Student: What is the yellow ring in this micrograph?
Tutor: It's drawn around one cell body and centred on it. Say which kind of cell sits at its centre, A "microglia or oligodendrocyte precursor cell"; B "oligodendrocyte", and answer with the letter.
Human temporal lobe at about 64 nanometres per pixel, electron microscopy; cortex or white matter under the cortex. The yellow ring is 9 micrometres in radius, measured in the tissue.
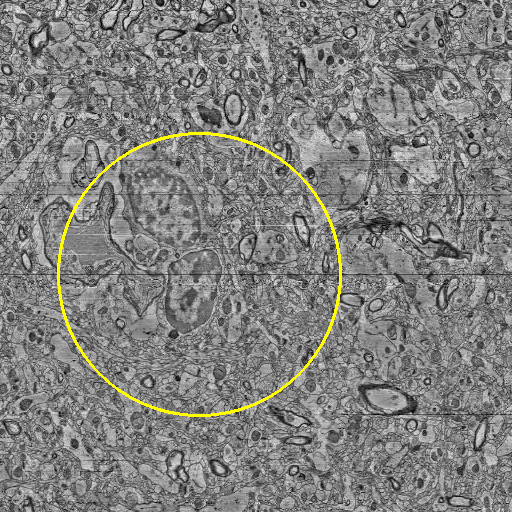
A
